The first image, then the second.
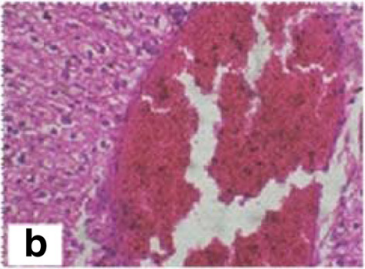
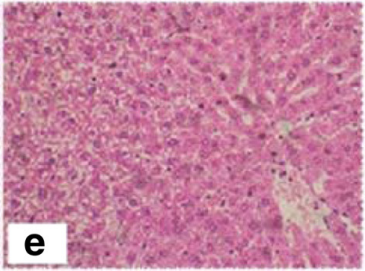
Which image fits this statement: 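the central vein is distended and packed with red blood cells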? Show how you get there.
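Second image: the vessel lumens are small and pale, without packed red blood cells. First image: a large vessel is filled with dense red blood cells. The answer: the first image.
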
